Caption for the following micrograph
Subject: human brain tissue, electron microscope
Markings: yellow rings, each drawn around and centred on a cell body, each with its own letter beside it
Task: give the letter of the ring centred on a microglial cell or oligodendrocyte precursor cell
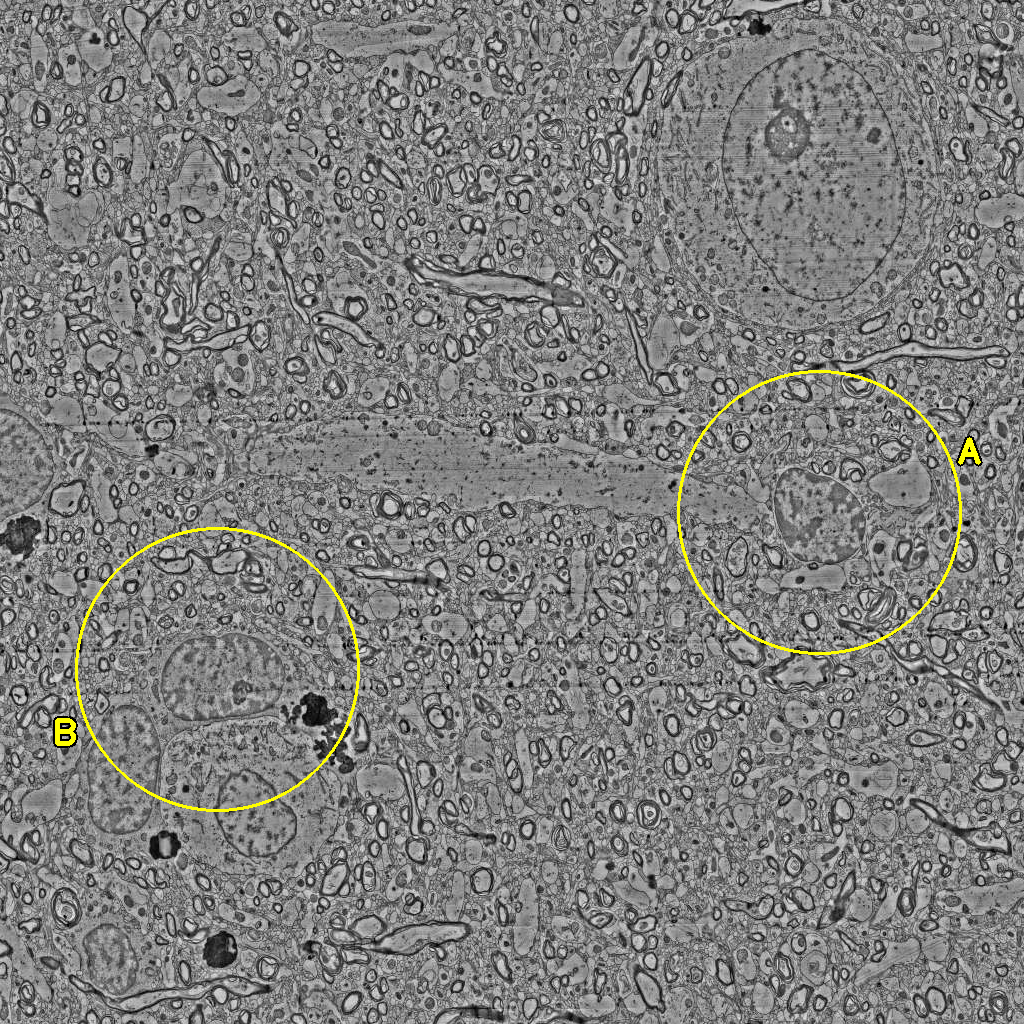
A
